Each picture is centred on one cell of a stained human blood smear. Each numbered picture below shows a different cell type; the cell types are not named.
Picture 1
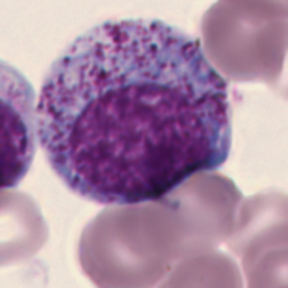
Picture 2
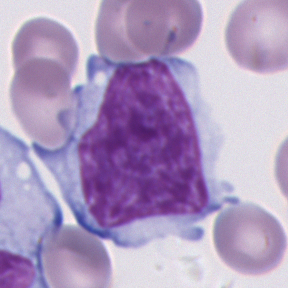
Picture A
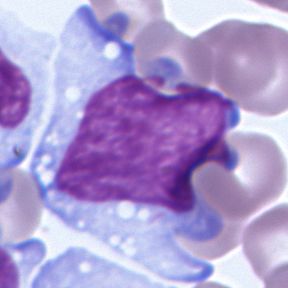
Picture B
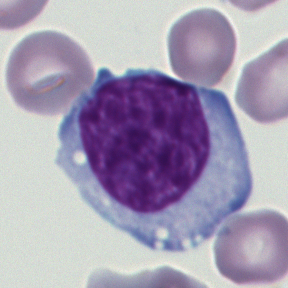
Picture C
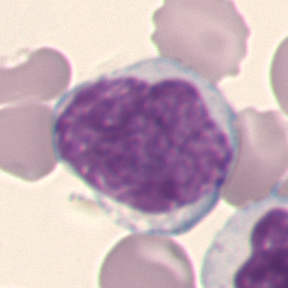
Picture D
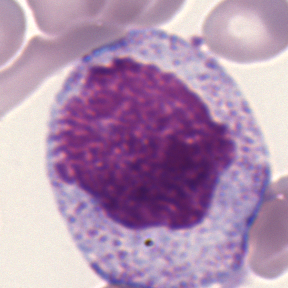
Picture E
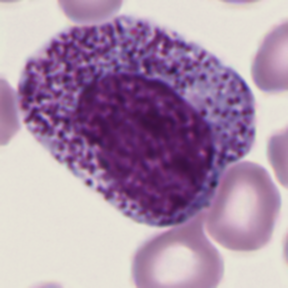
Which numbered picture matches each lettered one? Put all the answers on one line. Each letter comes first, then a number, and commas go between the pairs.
A 2, B 2, C 2, D 1, E 1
